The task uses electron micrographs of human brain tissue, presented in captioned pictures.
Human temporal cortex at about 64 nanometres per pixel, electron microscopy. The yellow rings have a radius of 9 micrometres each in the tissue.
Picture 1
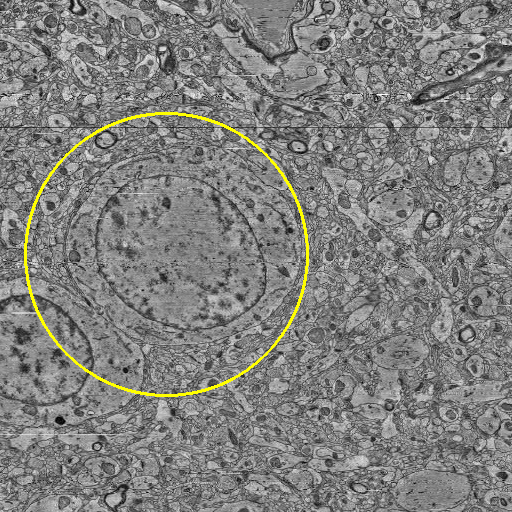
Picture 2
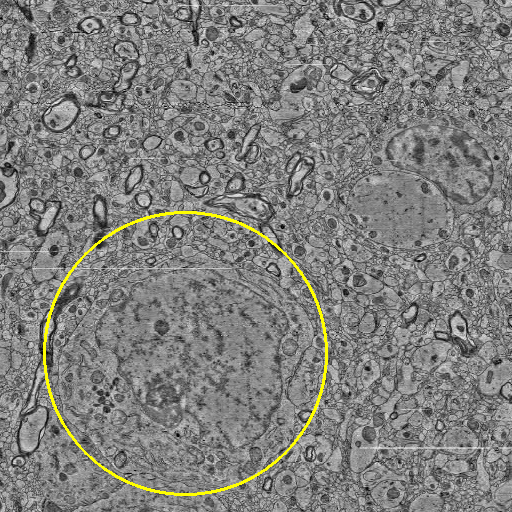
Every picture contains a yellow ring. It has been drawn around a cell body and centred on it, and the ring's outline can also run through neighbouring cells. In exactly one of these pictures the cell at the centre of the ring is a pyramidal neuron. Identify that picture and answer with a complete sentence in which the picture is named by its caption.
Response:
The ring in Picture 1 is centred on that kind of cell.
